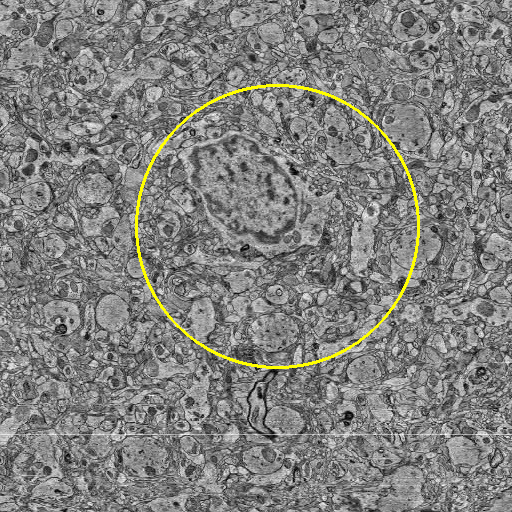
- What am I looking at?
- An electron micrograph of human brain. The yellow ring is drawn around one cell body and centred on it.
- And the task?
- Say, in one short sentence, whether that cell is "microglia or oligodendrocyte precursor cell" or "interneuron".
The cell in the middle of the ring is a microglial cell or oligodendrocyte precursor cell.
